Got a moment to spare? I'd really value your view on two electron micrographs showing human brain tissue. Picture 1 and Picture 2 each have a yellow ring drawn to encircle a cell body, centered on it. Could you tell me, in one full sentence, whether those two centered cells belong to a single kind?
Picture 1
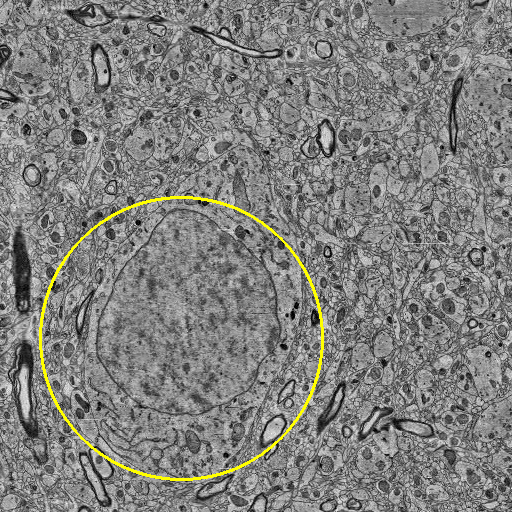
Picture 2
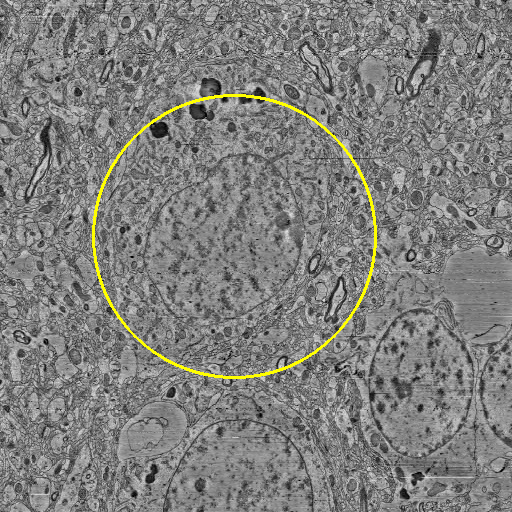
No, the two centered cells in Picture 1 and Picture 2 are of two kinds.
